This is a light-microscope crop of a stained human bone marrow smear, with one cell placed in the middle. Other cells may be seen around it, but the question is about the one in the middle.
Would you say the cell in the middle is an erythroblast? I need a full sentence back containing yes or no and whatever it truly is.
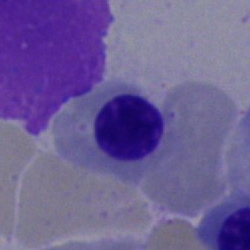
Yes, an erythroblast occupies the middle of the crop.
